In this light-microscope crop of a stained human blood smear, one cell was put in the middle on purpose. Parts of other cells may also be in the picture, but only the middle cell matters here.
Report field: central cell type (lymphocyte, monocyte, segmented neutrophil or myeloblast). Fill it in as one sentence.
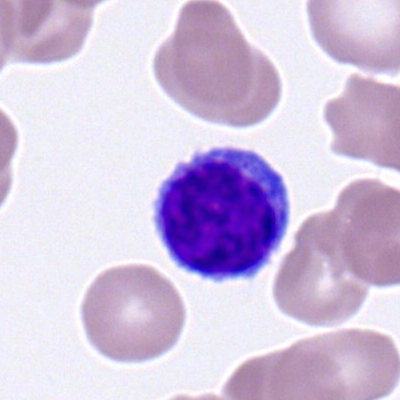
In the center of this field lies a lymphocyte.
